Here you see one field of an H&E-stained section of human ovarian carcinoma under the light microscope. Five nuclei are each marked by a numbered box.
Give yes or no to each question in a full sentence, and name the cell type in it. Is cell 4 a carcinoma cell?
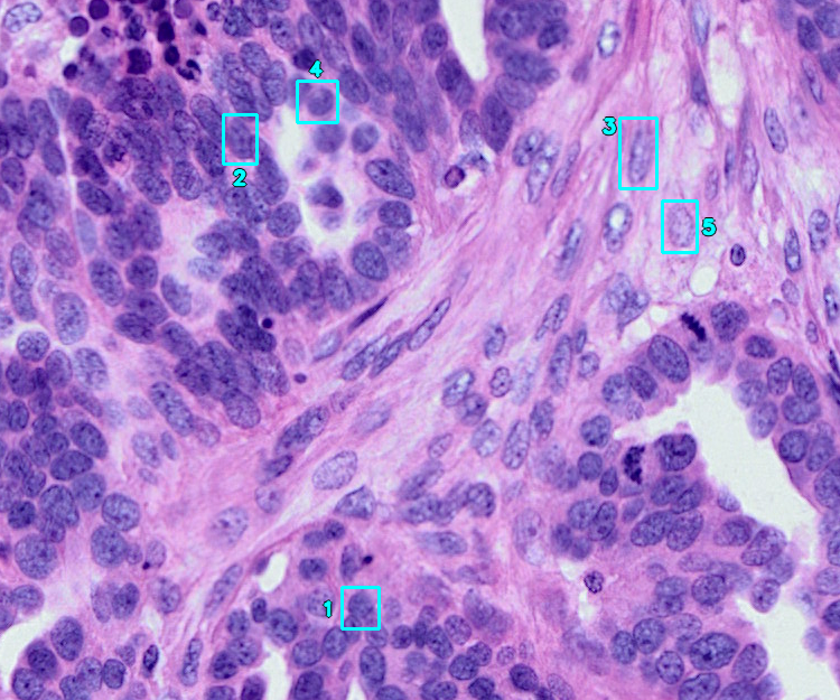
Yes, of the numbered cells, number 4 is a carcinoma cell.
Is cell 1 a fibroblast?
No, the cell tagged 1 is a carcinoma cell, not a fibroblast.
